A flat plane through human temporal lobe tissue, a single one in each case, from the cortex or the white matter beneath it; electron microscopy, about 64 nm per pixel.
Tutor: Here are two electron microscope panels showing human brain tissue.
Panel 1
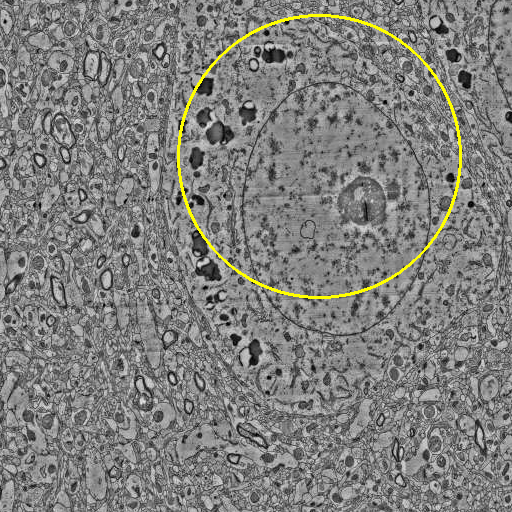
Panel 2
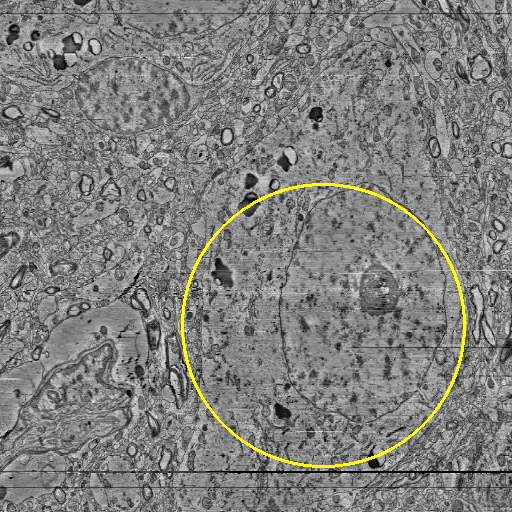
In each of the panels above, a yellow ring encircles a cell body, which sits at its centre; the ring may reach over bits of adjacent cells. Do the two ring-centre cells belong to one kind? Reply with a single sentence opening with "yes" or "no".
Yes, the two cells sitting at the ring centres in the panels belong to one kind.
